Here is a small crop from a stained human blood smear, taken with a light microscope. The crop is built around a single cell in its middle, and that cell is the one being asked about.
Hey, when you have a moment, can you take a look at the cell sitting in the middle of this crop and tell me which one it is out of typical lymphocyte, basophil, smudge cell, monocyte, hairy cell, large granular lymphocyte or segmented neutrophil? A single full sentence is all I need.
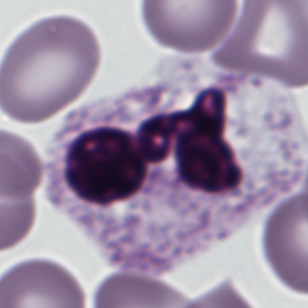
The cell shown in the center of this light-microscope crop is a segmented neutrophil.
